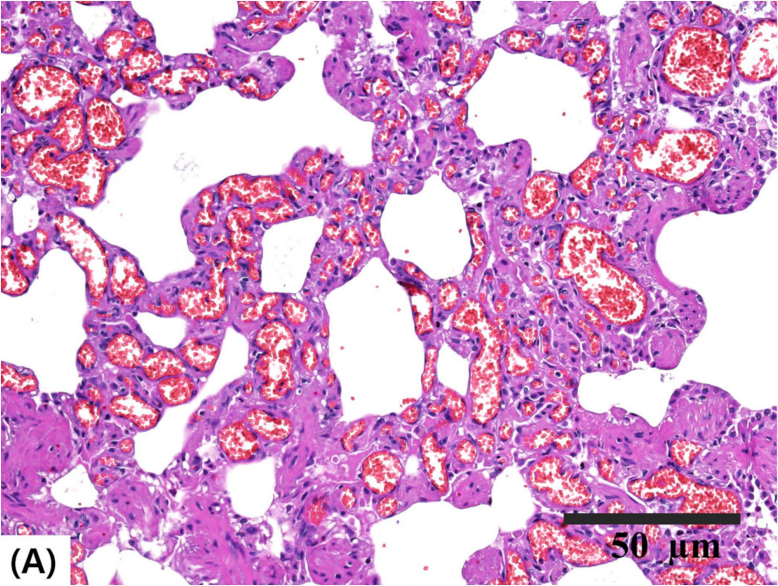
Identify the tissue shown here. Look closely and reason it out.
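The septa contain many blood-filled capillaries. That points to this answer: Lung tissue.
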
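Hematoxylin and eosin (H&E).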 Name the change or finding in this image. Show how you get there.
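Alveolar septa are packed with dilated, rounded capillary lumina. The dilated capillaries are filled with red blood cells. The septa are thickened by these distended vessels.
Hence: diffuse capillary ectasia.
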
